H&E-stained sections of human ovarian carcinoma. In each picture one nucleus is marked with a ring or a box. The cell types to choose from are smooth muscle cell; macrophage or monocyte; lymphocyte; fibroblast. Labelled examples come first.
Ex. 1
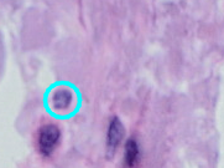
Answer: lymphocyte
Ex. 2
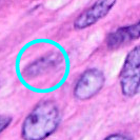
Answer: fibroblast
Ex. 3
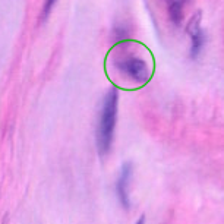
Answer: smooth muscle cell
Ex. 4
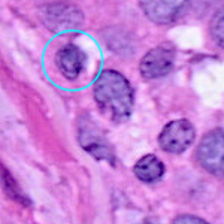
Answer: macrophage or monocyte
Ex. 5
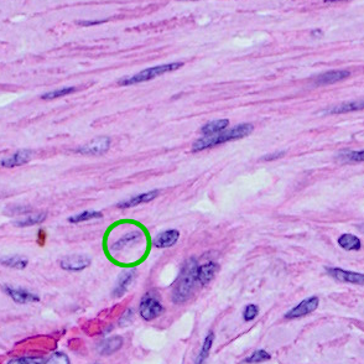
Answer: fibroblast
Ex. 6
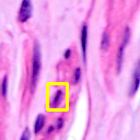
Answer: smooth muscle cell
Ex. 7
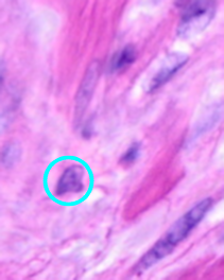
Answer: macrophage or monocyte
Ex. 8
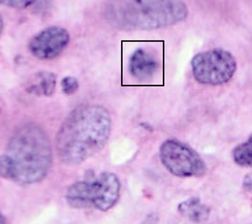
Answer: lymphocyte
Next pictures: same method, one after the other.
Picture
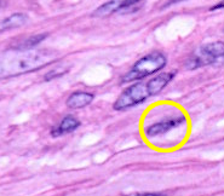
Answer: fibroblast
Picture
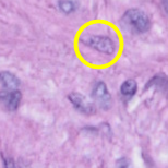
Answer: fibroblast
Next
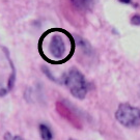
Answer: lymphocyte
